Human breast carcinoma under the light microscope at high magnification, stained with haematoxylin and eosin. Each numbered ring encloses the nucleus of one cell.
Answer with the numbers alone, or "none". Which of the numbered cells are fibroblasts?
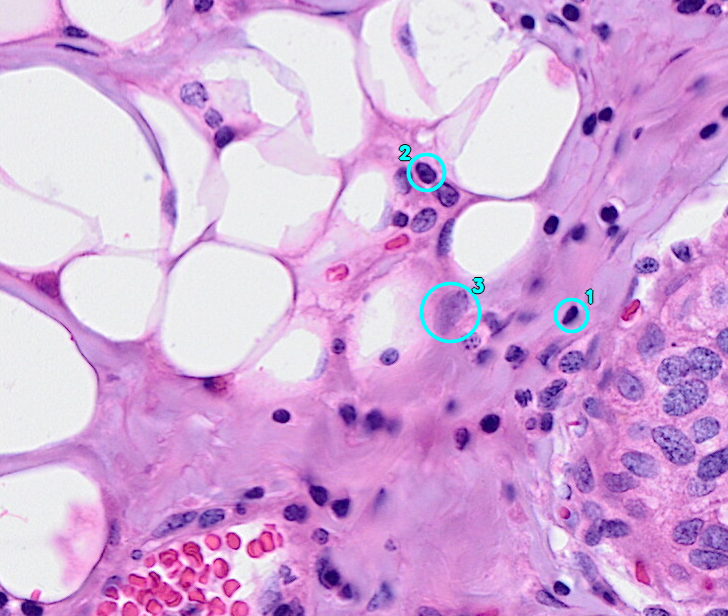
3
